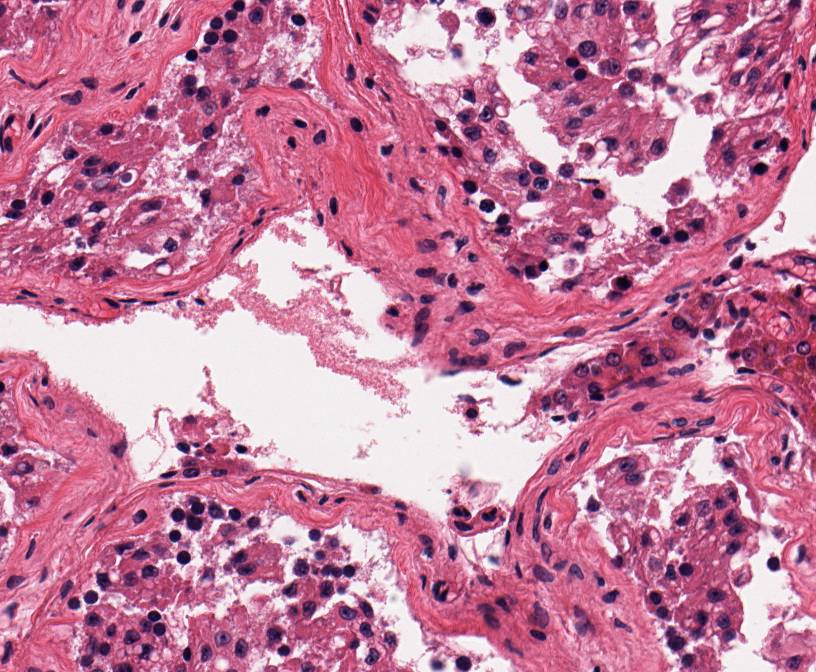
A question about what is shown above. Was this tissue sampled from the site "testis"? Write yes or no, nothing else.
yes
